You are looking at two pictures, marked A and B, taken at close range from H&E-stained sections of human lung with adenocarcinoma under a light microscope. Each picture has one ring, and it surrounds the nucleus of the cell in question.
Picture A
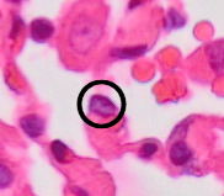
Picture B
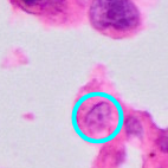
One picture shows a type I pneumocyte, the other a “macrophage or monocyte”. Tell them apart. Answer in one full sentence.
In picture A the cell is a type I pneumocyte; in picture B, a “macrophage or monocyte”.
